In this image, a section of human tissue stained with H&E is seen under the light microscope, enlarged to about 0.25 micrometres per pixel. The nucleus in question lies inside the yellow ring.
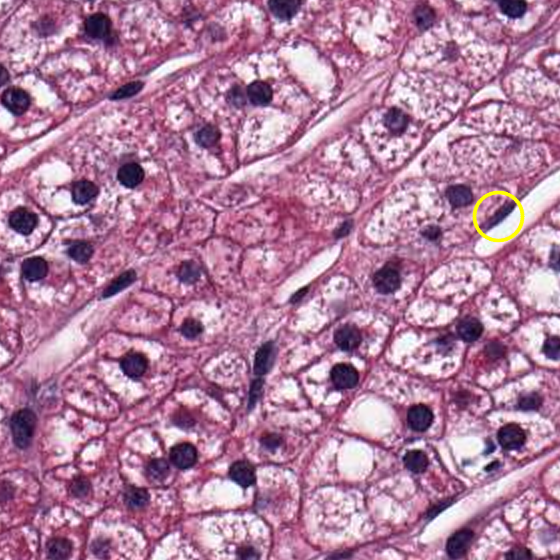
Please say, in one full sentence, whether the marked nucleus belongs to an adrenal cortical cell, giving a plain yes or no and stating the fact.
No, the cell that carries the marked nucleus is a supporting cell, not an adrenal cortical cell.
